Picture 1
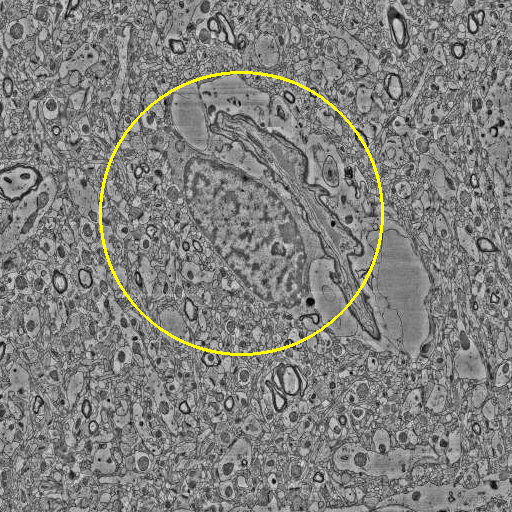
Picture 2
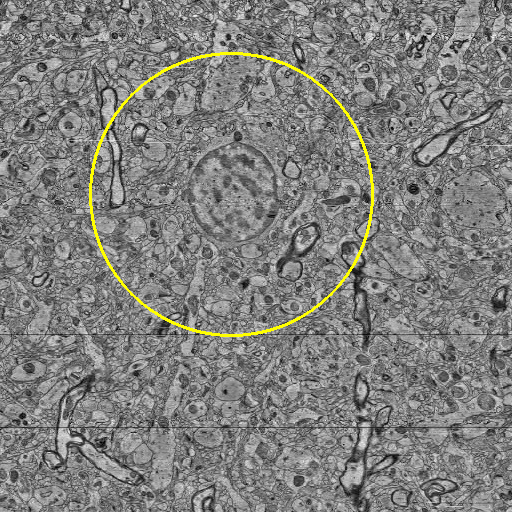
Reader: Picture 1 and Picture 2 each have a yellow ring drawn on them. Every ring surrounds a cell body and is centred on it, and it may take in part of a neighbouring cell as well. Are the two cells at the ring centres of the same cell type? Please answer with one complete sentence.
Yes, both cells are of the same cell type.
